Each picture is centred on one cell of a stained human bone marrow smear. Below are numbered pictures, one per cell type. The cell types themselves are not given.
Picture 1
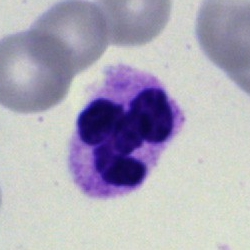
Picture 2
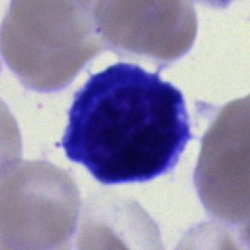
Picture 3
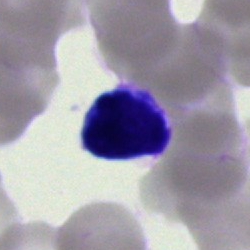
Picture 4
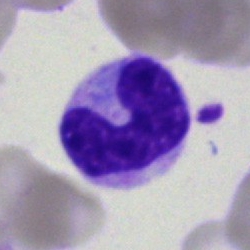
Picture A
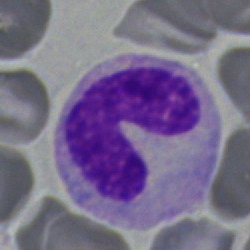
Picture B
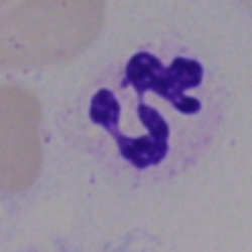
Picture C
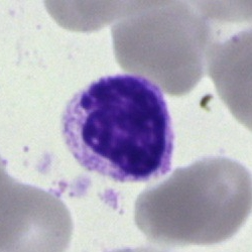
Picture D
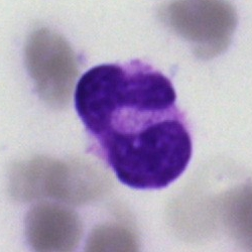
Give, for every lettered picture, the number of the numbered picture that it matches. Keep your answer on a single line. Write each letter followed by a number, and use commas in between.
A 4, B 1, C 4, D 1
